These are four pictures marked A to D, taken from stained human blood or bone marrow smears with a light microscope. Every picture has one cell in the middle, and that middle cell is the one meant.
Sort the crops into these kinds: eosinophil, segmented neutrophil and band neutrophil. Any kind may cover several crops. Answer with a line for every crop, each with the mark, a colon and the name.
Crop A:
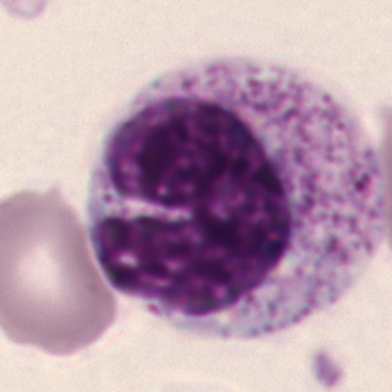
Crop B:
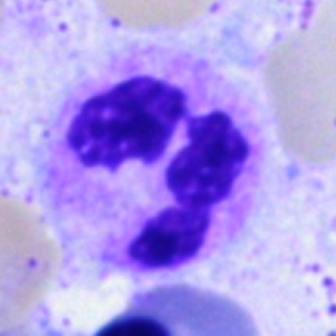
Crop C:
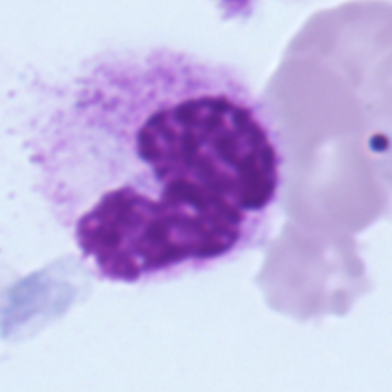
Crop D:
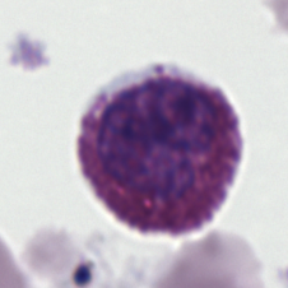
A: band neutrophil
B: segmented neutrophil
C: segmented neutrophil
D: eosinophil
